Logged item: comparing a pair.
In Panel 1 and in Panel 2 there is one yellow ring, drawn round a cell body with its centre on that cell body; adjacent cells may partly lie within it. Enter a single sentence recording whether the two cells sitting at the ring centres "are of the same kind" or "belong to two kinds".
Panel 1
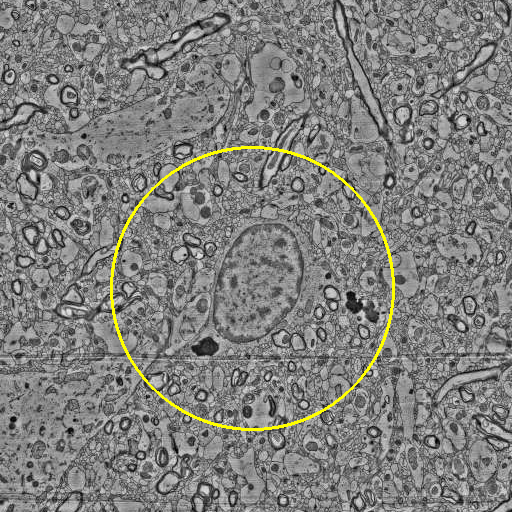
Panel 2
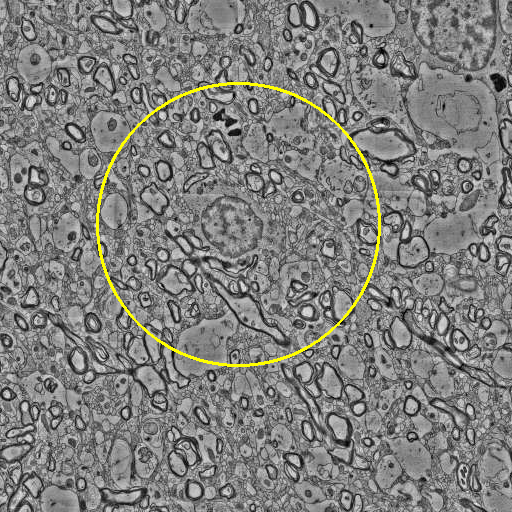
Logged: the cells centred in the rings of Panel 1 and Panel 2 are of the same kind.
